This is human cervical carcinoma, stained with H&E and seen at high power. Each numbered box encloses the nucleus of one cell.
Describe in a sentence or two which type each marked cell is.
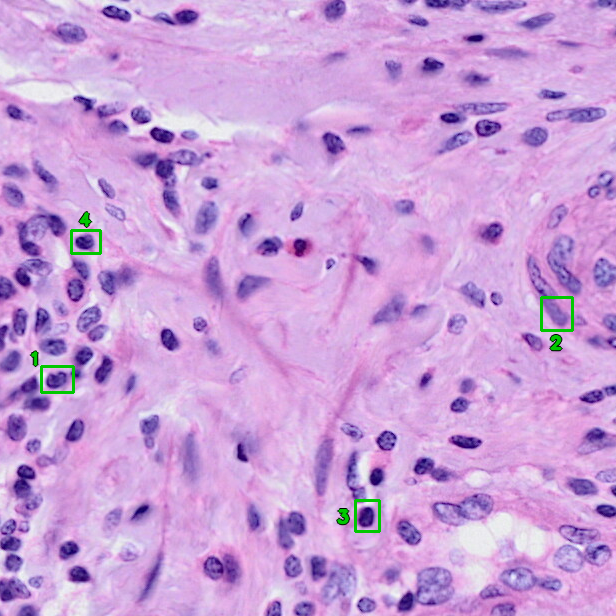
Cell 1 is a lymphocyte, cell 2 is a smooth muscle cell, cell 3 is a lymphocyte and cell 4 is a lymphocyte.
